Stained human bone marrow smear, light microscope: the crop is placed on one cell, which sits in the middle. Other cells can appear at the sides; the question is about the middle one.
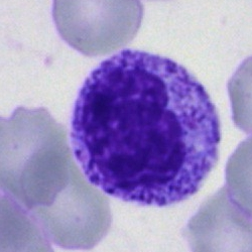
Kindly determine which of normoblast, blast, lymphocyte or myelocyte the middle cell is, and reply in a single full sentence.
The cell in the exact centre of the crop is a myelocyte.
